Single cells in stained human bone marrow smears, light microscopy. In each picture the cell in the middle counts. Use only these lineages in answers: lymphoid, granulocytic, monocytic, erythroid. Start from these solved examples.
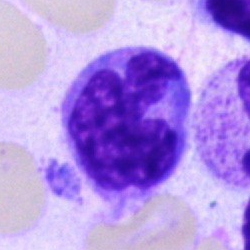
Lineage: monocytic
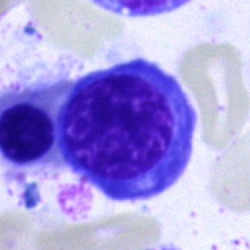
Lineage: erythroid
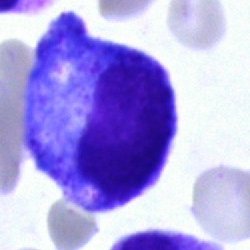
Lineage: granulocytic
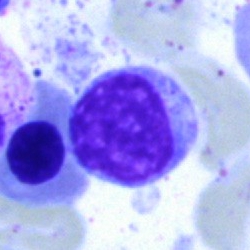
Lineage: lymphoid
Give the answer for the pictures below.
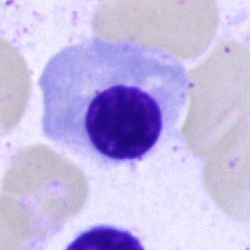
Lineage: erythroid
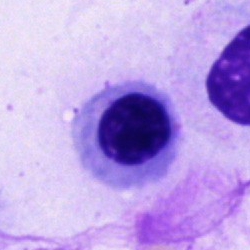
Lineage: erythroid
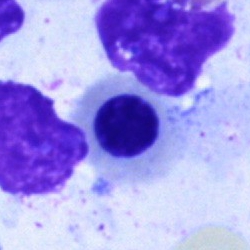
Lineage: erythroid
